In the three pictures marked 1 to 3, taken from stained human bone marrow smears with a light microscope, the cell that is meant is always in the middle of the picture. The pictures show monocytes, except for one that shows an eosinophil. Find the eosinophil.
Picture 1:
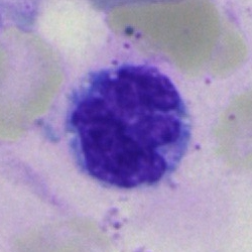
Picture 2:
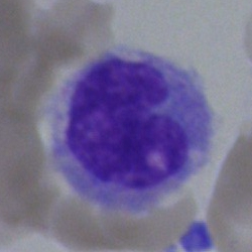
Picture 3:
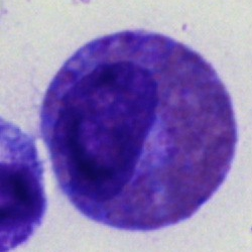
3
